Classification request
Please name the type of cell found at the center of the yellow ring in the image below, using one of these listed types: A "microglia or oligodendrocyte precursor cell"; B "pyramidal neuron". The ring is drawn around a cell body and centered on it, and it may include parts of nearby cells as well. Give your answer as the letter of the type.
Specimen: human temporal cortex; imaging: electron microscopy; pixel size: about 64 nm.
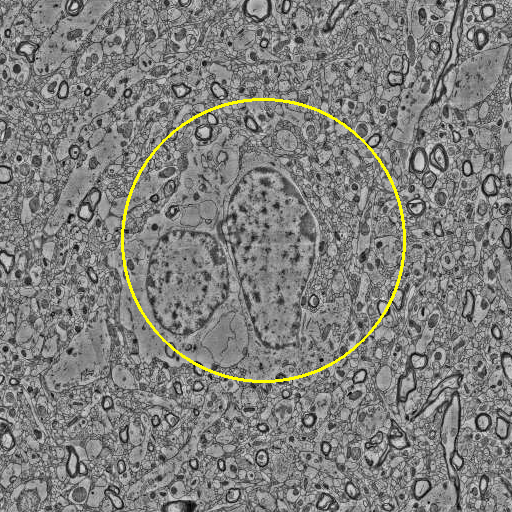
A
